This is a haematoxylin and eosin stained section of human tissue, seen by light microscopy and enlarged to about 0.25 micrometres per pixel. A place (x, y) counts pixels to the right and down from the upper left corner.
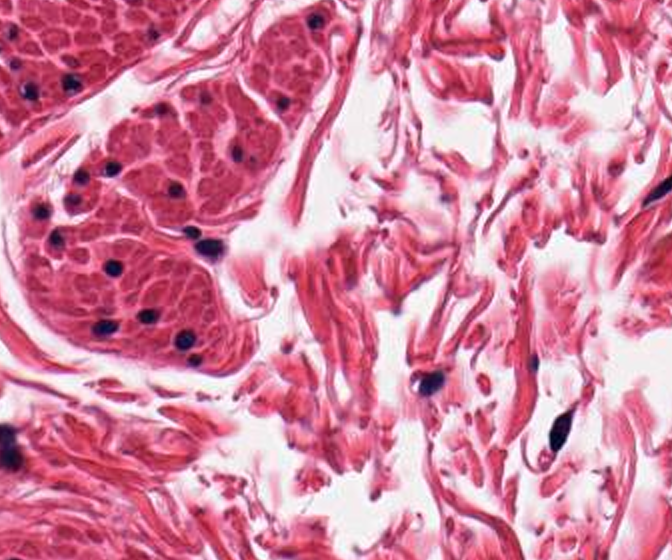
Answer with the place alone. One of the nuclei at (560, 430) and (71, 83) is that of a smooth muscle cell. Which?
(71, 83)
